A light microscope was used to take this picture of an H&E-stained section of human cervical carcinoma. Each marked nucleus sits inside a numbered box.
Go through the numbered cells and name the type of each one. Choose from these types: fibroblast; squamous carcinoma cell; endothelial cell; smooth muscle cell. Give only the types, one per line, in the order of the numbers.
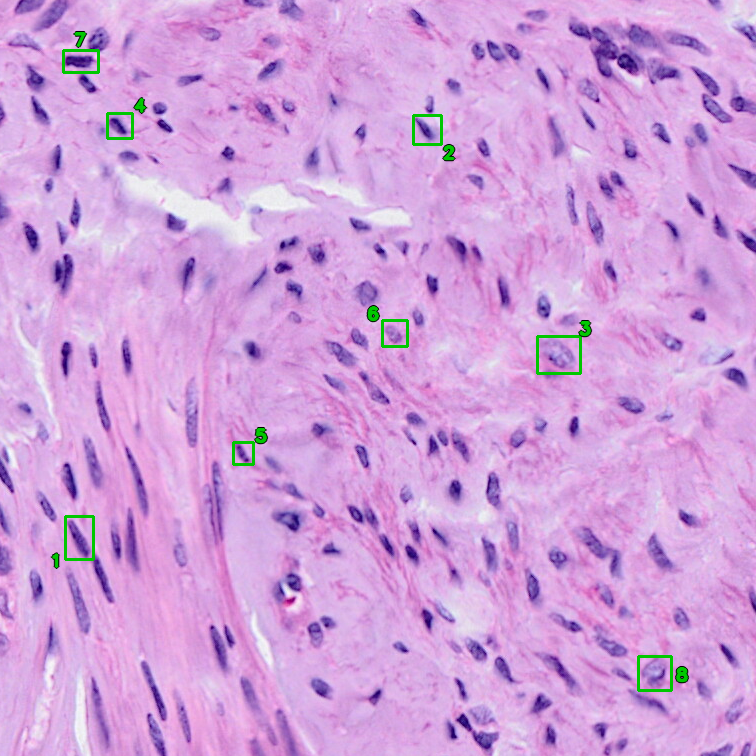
fibroblast
fibroblast
smooth muscle cell
fibroblast
smooth muscle cell
smooth muscle cell
fibroblast
smooth muscle cell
